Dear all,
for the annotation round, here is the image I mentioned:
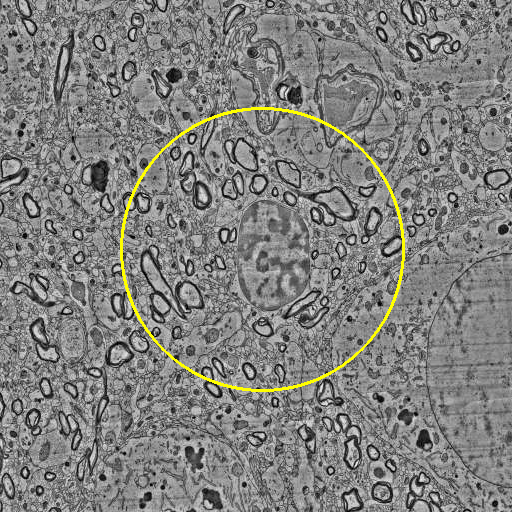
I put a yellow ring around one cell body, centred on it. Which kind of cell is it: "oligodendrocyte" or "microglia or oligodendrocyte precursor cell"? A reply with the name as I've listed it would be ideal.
microglia or oligodendrocyte precursor cell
